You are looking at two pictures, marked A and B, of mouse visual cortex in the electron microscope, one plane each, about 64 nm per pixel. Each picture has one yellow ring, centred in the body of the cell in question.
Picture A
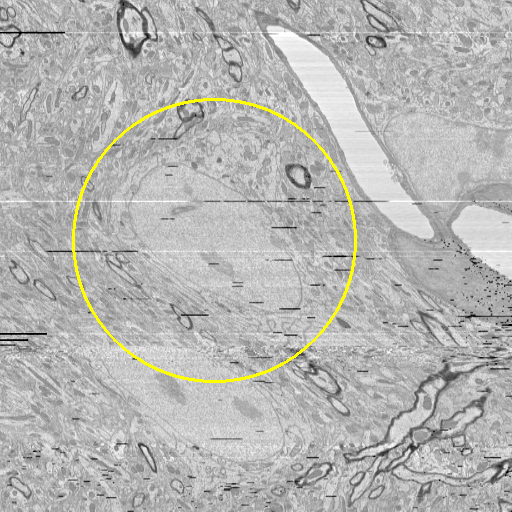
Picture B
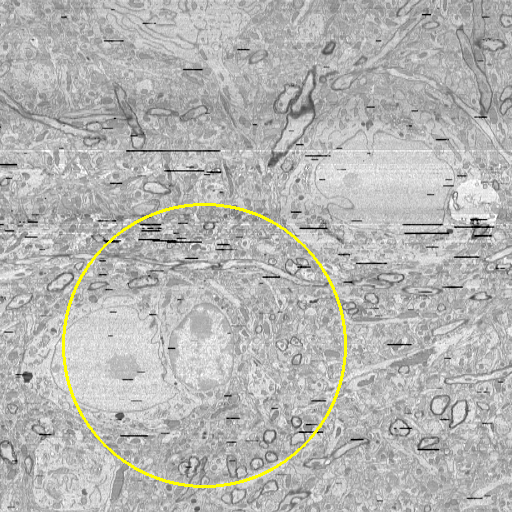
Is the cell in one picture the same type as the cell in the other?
No, picture A shows an inhibitory neuron and picture B shows an oligodendrocyte.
